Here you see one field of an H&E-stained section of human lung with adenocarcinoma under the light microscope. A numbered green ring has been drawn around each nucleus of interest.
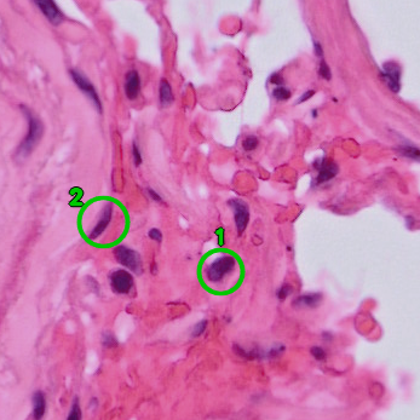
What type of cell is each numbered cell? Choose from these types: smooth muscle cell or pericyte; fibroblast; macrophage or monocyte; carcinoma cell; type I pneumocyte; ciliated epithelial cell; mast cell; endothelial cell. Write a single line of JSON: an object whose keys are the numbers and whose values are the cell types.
{"1": "type I pneumocyte", "2": "endothelial cell"}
